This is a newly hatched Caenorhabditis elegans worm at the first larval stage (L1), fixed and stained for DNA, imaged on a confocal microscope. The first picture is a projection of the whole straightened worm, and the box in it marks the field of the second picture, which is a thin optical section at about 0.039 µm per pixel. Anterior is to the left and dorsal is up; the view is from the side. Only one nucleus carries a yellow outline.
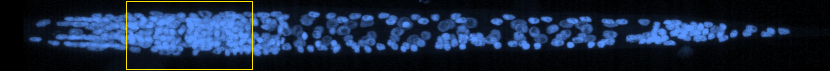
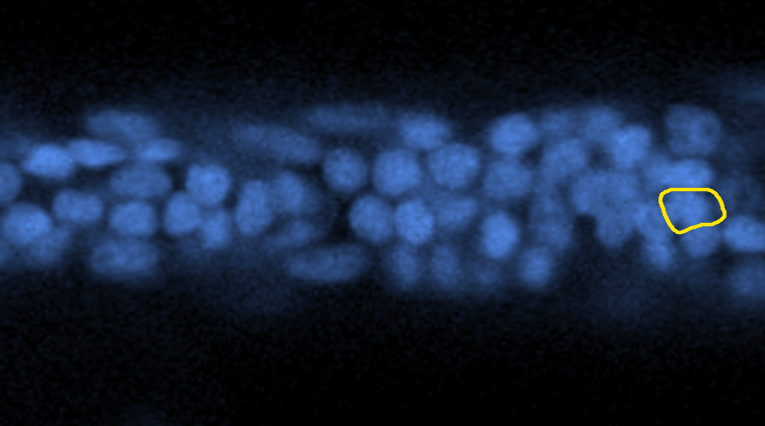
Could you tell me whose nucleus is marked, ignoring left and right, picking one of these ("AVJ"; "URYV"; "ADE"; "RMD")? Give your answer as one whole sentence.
The cell whose nucleus is marked is ADE, a neuron.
